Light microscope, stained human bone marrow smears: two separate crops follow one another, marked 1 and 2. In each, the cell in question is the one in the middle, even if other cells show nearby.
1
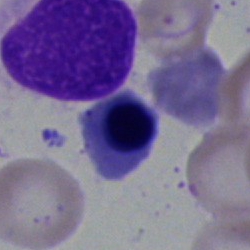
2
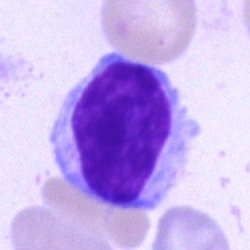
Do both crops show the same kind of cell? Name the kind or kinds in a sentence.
No, look again: crop 1 shows an erythroblast, and crop 2 shows a lymphocyte.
